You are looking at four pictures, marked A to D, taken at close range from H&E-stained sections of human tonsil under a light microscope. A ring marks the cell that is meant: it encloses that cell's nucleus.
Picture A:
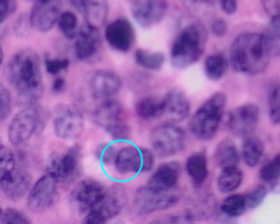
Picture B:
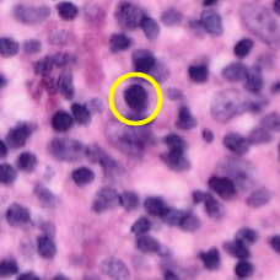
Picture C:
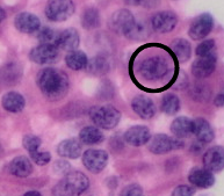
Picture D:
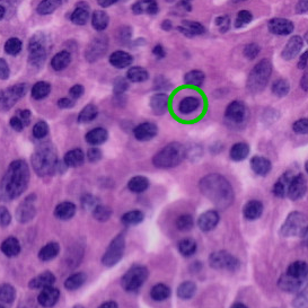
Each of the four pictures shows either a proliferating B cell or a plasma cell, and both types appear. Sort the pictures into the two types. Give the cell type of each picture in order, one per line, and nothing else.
proliferating B cell
proliferating B cell
plasma cell
plasma cell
